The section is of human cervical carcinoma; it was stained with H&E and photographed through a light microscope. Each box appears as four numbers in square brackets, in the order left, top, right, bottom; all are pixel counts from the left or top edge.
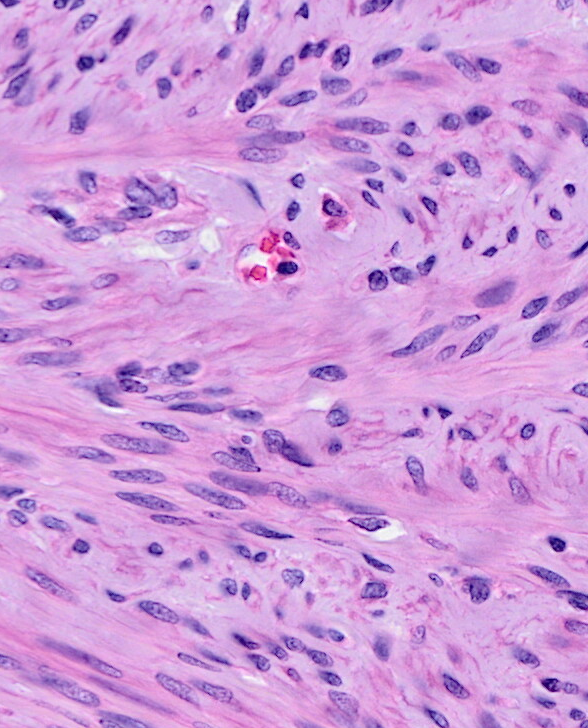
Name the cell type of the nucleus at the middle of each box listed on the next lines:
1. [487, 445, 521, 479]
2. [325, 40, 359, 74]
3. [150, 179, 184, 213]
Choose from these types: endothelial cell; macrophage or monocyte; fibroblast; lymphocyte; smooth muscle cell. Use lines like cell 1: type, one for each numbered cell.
cell 1: smooth muscle cell
cell 2: lymphocyte
cell 3: endothelial cell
